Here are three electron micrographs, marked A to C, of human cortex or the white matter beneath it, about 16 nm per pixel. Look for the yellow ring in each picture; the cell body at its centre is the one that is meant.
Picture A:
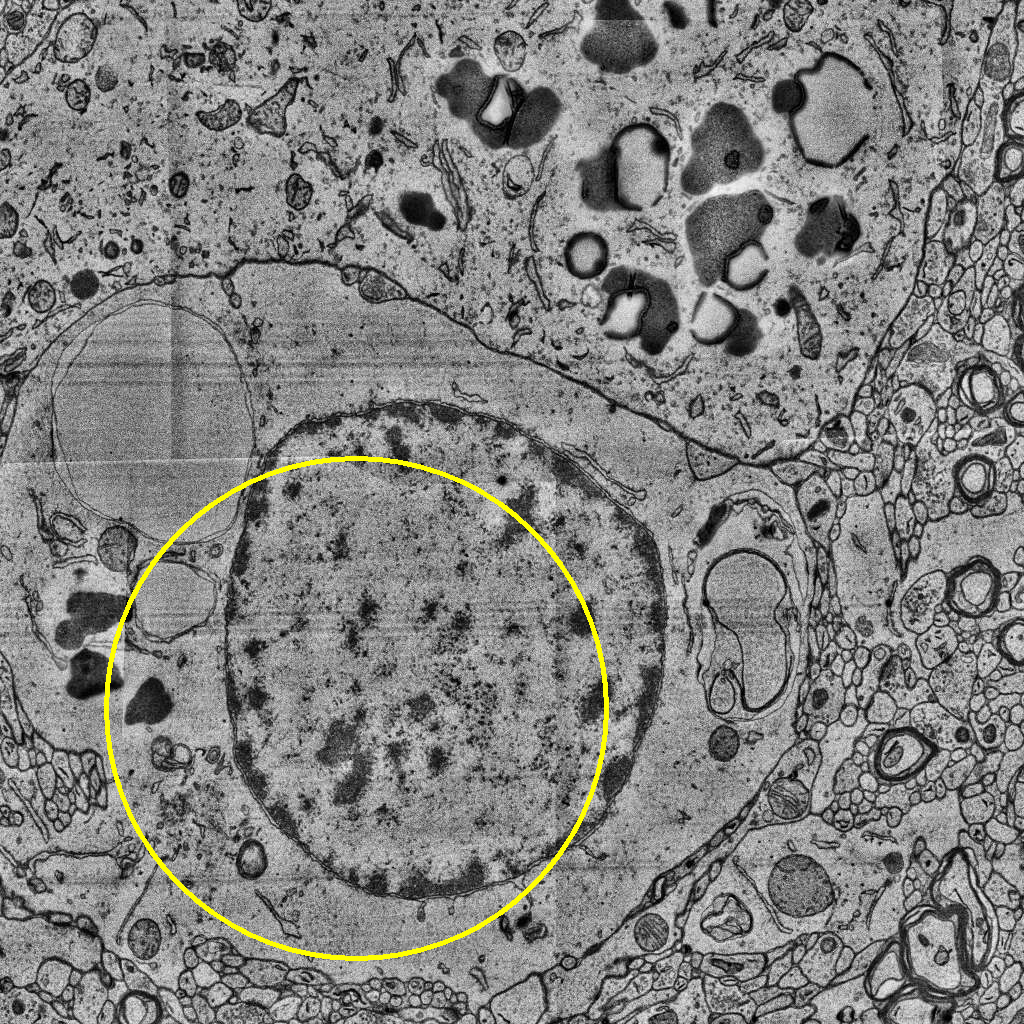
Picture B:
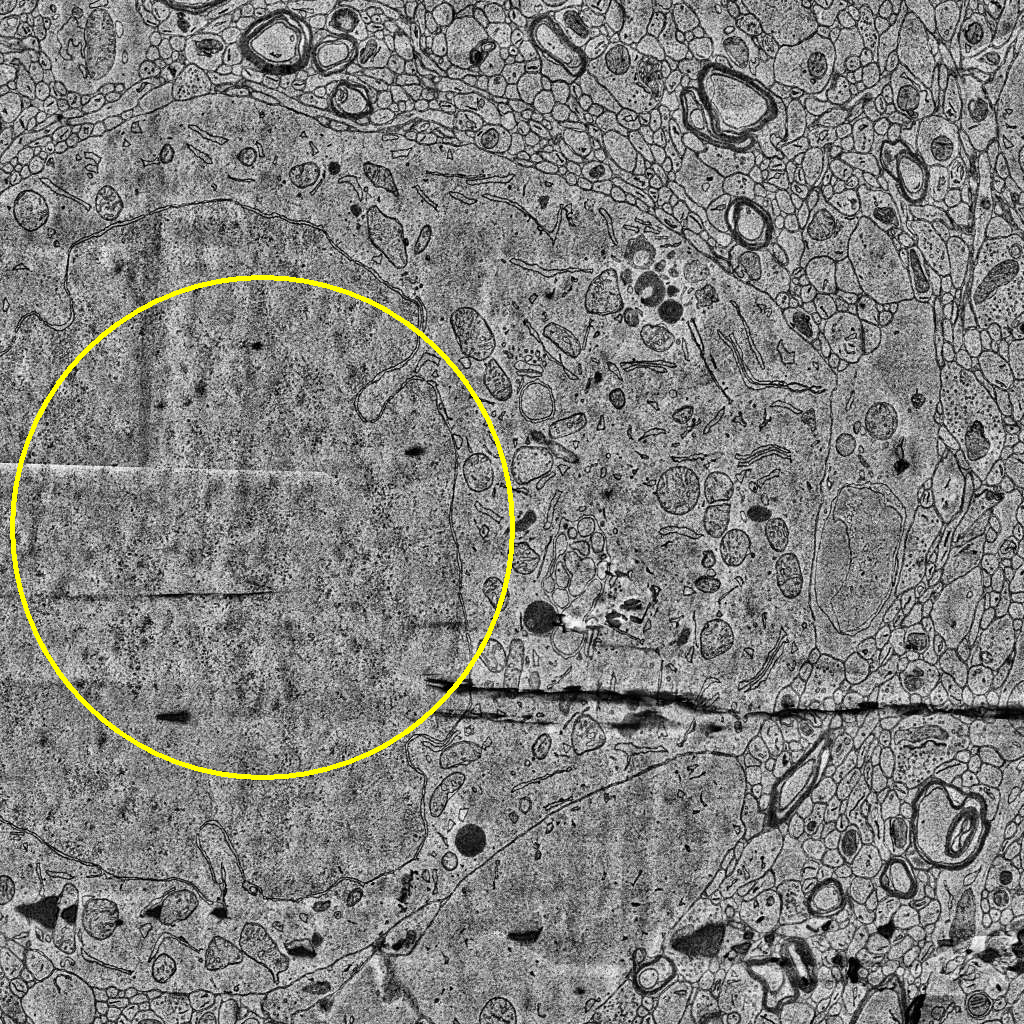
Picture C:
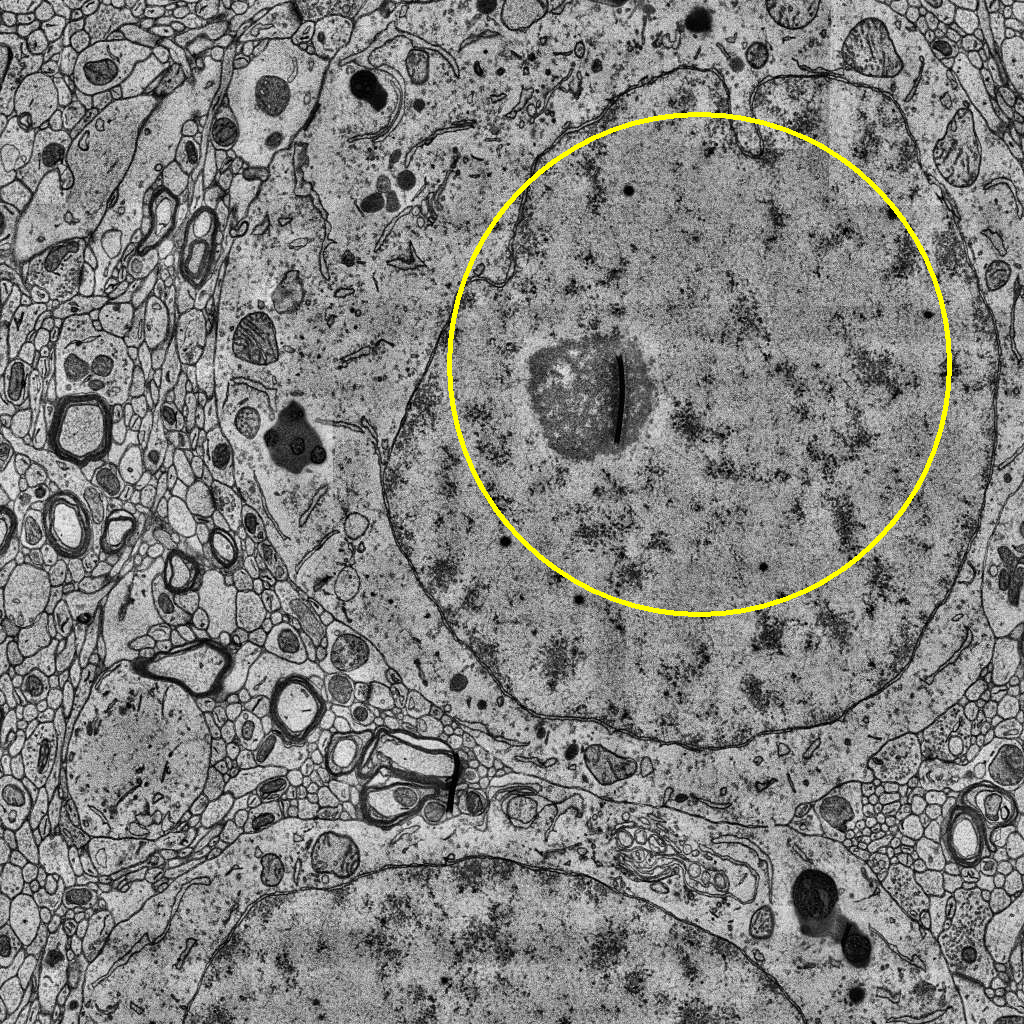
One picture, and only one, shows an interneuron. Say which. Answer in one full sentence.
Picture B is the one that shows the interneuron.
